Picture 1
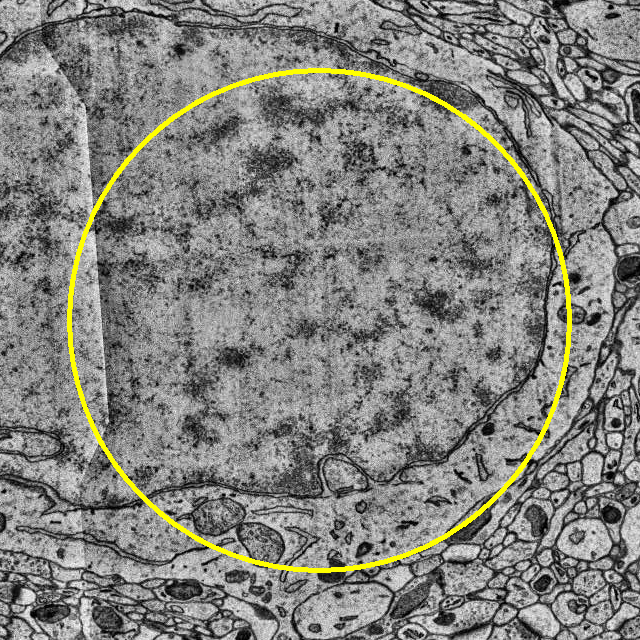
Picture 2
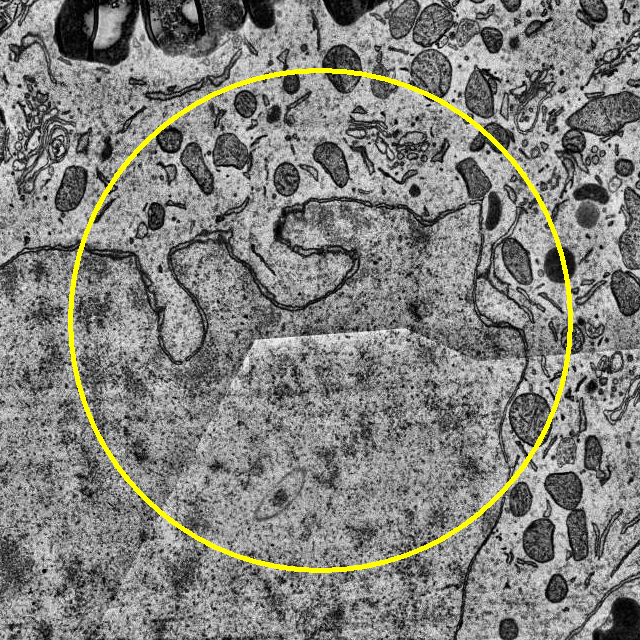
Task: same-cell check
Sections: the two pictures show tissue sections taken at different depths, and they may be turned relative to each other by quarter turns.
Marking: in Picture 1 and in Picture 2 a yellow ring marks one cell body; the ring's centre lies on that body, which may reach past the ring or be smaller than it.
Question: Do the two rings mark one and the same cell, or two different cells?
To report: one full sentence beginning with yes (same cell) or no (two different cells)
No, the two rings refer to two distinct cells.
